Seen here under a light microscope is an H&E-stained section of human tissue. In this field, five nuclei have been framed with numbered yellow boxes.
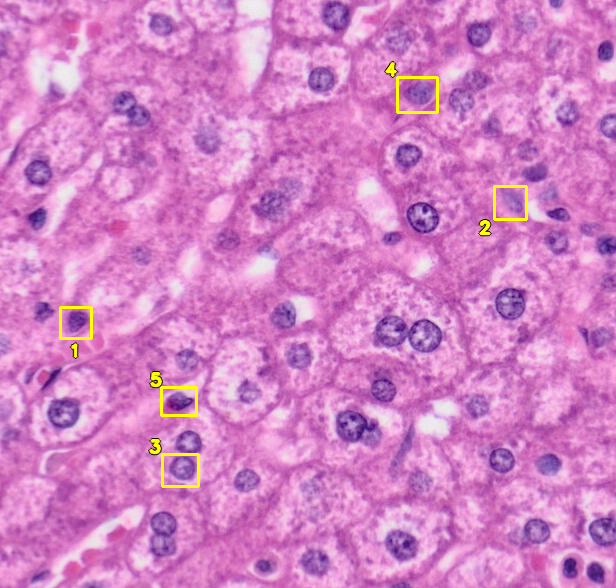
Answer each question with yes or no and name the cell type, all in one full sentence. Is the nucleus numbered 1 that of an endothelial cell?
No, cell 1 is not an endothelial cell; a fibroblast or stellate cell is correct.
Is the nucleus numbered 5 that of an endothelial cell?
Yes, the cell that bears the number 5 is an endothelial cell.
